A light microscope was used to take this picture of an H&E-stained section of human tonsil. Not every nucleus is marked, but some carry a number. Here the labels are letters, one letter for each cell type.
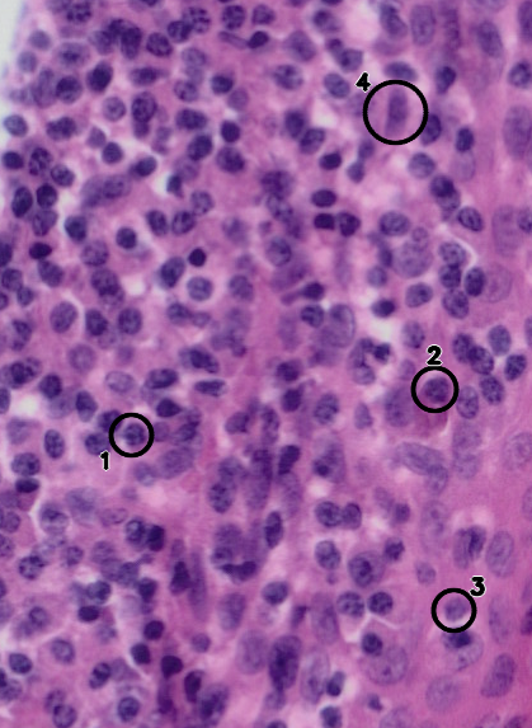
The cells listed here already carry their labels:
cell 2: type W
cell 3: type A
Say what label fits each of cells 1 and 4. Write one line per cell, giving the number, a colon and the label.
1: type W
4: type A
